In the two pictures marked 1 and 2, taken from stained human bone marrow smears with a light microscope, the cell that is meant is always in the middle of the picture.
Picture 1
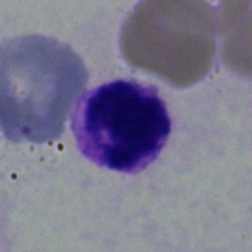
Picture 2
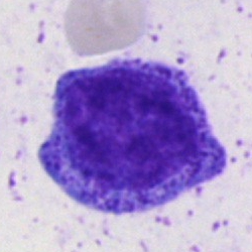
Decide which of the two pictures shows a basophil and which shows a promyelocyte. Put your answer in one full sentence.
It is picture 1 that shows a basophil, and picture 2 that shows a promyelocyte.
